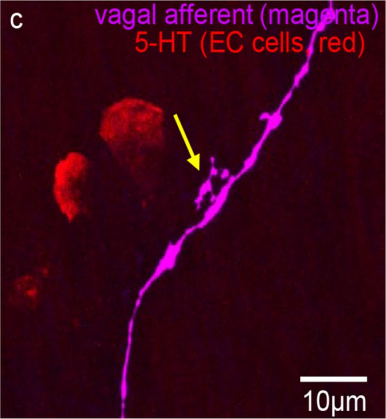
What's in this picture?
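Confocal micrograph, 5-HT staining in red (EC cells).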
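A nerve fibre in the intestinal lining gives off a small ending near scattered red-stained epithelial cells. A beaded magenta axon runs diagonally from lower left to upper right. From its side a short tuft of irregular, knobbed magenta branches projects toward two rounded red cells lying to the left, one large and pale, one smaller and brighter. A third faint red cell lies at the lower left edge. The branches come close to, but do not clearly contact, the red cells.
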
